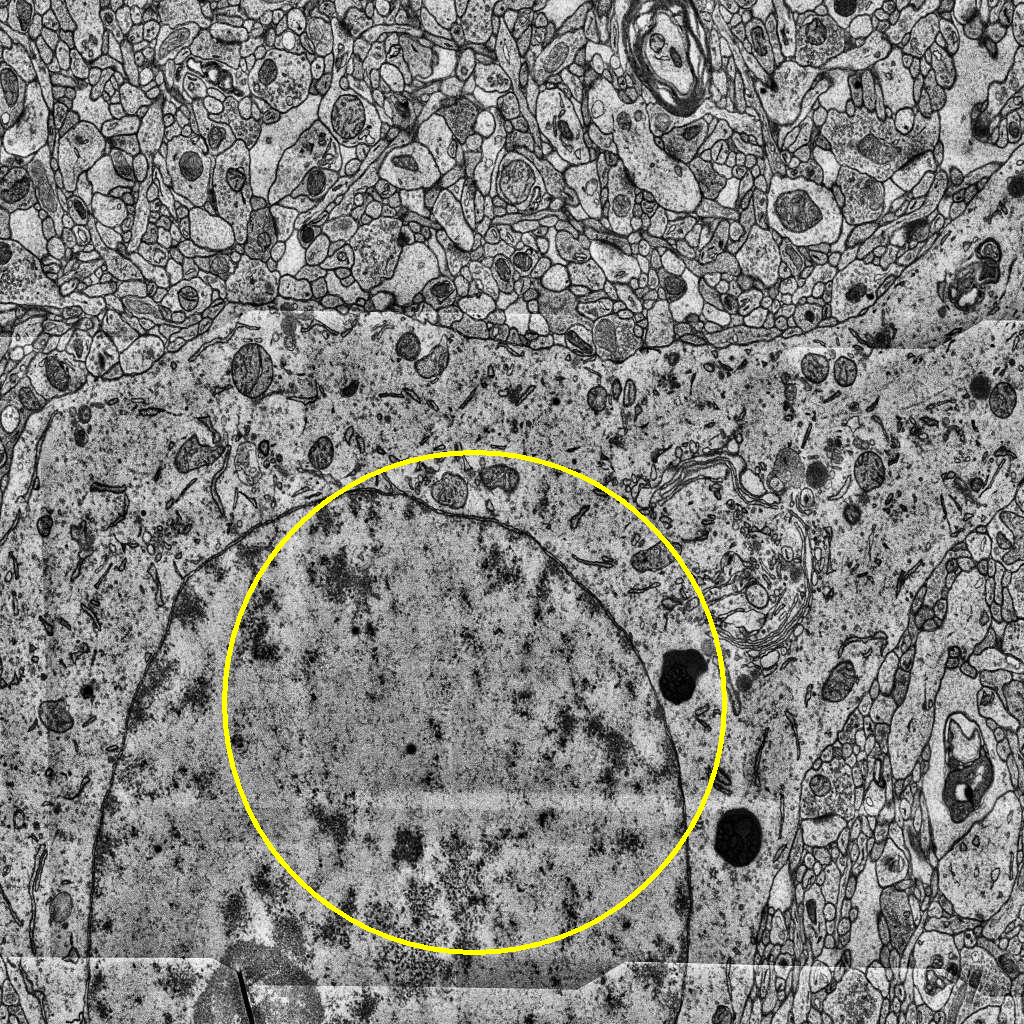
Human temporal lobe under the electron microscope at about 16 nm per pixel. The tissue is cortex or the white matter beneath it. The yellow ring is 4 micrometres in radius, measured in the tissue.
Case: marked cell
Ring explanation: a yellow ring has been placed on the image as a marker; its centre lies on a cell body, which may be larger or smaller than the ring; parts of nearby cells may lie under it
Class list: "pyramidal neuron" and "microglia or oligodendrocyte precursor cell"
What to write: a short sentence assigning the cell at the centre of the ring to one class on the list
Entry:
The cell at the ring's centre is a pyramidal neuron.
